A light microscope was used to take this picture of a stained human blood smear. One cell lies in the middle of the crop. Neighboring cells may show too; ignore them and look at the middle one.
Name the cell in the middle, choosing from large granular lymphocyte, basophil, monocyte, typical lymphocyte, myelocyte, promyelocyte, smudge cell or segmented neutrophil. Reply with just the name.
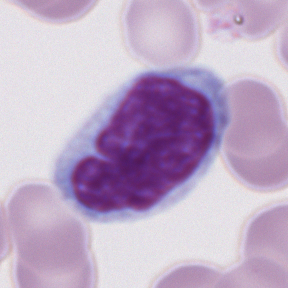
monocyte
